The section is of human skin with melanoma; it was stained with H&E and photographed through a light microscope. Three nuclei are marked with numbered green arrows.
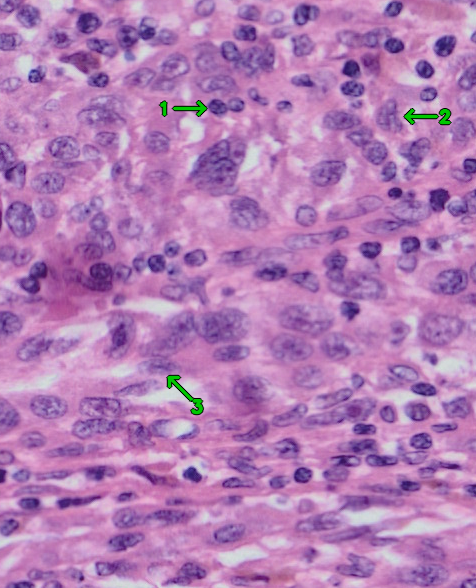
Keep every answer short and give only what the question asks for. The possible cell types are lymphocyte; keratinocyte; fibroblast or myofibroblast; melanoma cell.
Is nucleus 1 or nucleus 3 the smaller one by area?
1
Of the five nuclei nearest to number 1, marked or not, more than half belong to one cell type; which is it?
melanoma cell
